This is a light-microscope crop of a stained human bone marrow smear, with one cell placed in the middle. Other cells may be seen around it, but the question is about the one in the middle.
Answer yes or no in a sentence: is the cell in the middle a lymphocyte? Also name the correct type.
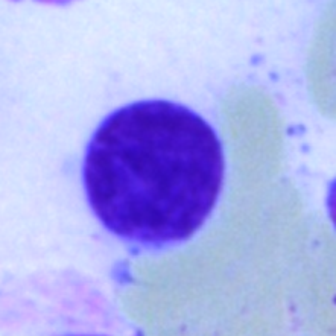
Yes, centred in the crop is a lymphocyte.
